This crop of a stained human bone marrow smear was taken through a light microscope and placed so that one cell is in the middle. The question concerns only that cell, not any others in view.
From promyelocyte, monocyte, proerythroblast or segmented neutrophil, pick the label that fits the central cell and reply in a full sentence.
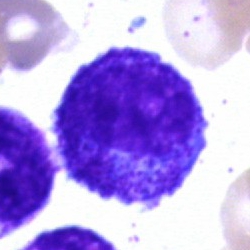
The cell centred in this crop is categorized as a promyelocyte.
